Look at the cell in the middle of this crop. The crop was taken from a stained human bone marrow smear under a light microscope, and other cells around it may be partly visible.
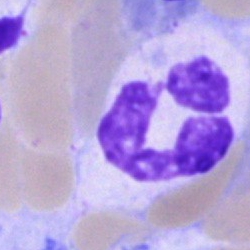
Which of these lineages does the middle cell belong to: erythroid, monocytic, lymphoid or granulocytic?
granulocytic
